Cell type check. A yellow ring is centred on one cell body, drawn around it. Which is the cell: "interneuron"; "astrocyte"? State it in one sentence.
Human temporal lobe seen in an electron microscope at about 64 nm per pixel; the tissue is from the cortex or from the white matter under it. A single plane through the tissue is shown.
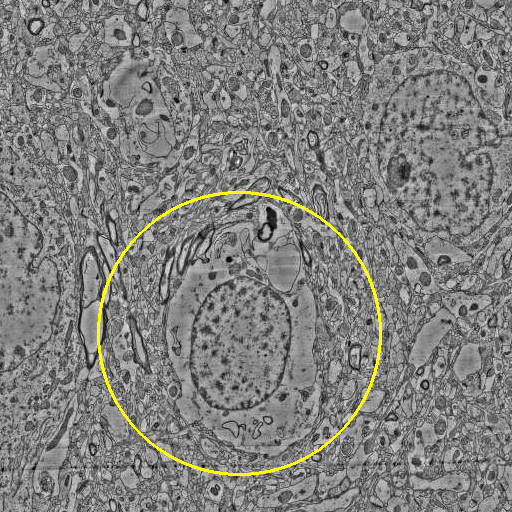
The cell body at the ring's centre belongs to an astrocyte.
